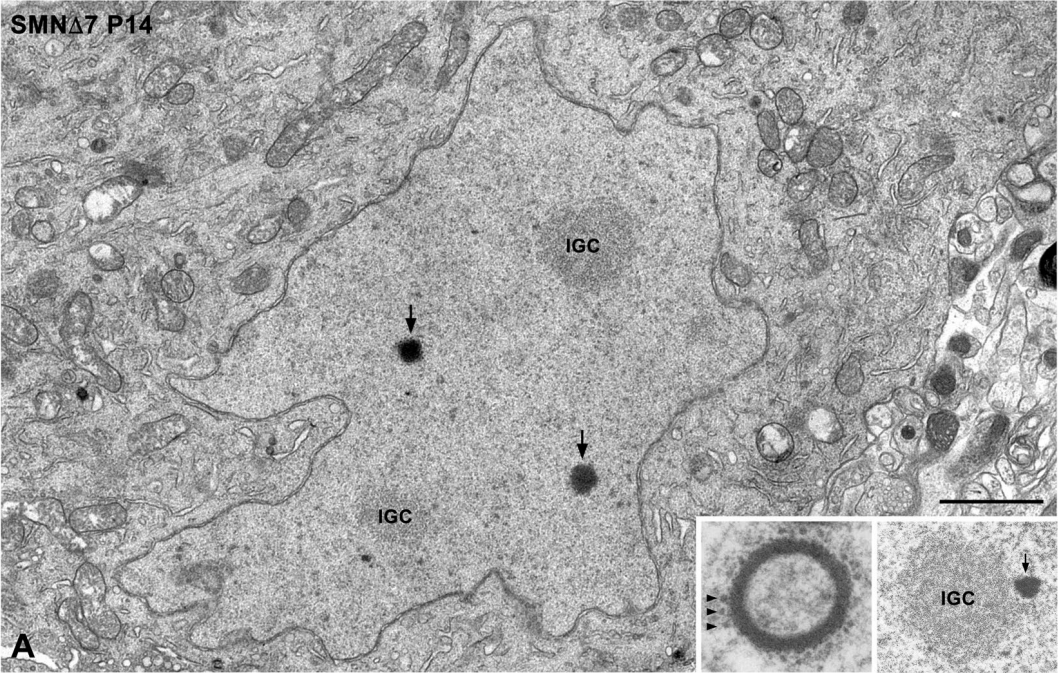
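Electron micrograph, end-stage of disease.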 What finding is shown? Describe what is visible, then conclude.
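The large central nucleus has a highly irregular outline. The nuclear envelope folds deeply inward at several places. So: numerous invaginations of the nuclear envelope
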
